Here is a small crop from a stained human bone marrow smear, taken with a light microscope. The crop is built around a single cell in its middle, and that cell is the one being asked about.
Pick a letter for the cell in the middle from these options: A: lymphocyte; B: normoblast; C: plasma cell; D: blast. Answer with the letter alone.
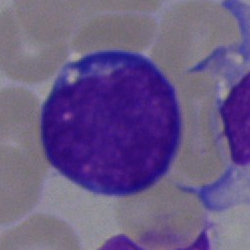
D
